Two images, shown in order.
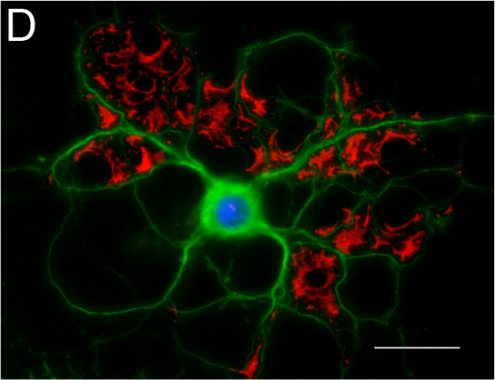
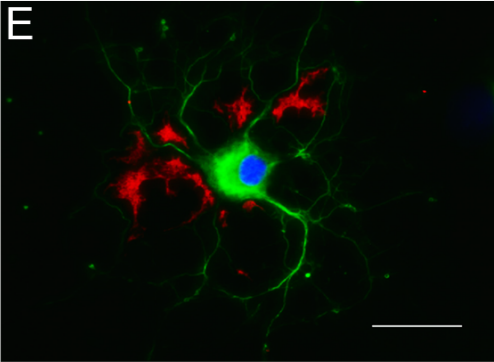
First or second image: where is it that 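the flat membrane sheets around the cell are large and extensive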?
the first image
